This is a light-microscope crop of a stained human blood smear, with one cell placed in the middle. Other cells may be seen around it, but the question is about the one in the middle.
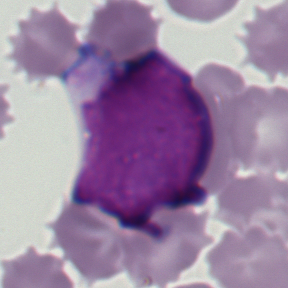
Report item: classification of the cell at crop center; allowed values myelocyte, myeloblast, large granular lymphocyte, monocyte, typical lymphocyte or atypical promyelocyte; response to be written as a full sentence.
The central element of this crop is a cell, namely a myeloblast.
